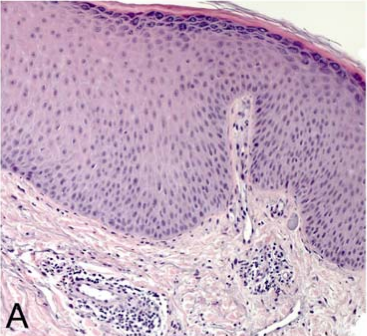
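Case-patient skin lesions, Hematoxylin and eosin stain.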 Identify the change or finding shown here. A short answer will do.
Epidermal hyperplasia.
